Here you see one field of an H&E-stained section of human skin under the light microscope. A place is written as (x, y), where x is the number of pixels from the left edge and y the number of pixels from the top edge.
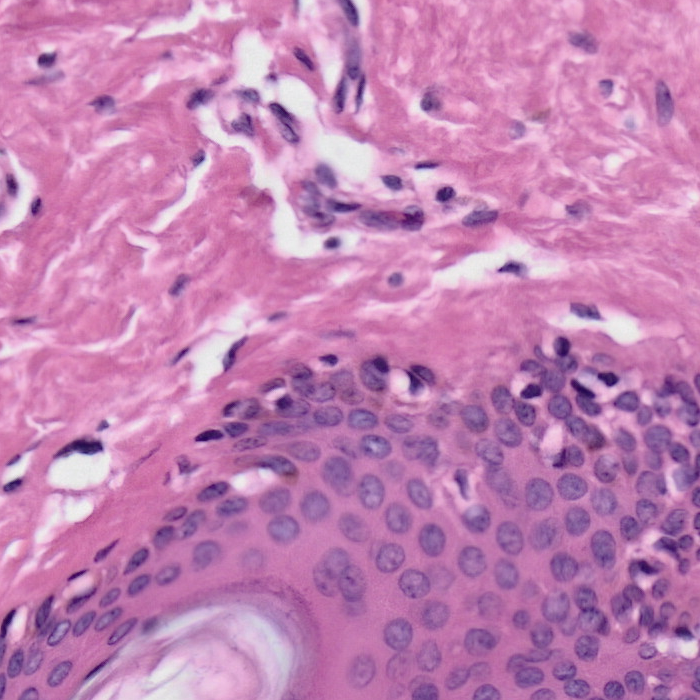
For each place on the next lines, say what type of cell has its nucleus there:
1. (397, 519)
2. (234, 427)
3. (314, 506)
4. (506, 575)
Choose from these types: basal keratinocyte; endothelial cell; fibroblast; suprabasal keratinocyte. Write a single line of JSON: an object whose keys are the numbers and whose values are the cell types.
{"1": "suprabasal keratinocyte", "2": "basal keratinocyte", "3": "suprabasal keratinocyte", "4": "suprabasal keratinocyte"}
